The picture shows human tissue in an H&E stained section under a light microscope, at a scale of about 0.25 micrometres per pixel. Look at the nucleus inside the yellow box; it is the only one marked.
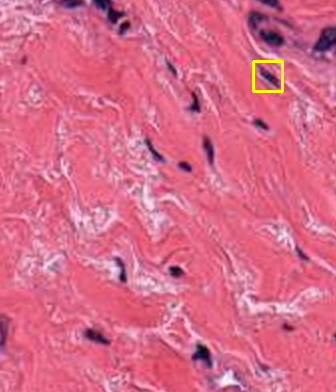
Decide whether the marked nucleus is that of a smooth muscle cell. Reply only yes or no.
no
